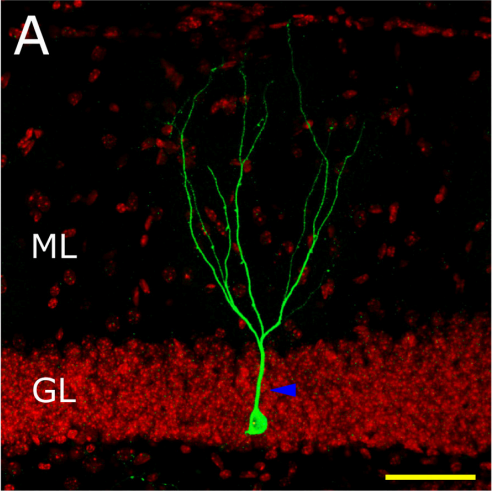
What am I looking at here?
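A single green granule neuron sits at the base of a dense band of red nuclei, with its dendritic tree extending up into a sparsely nucleated molecular layer. From the top of the rounded cell body one thick primary dendrite crosses the nuclear layer and splits near its upper edge, giving a Y-like tree whose thin branches fan out and reach far up into the upper layer.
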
